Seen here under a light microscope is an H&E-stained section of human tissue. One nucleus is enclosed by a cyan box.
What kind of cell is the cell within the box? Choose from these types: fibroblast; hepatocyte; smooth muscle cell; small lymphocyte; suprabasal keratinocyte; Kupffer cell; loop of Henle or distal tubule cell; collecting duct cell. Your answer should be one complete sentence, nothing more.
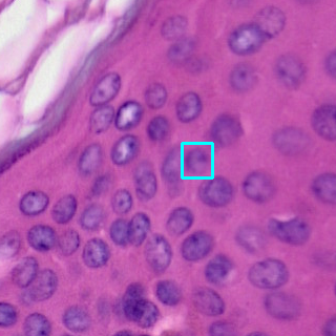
It is a suprabasal keratinocyte that the cell within the box represents.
